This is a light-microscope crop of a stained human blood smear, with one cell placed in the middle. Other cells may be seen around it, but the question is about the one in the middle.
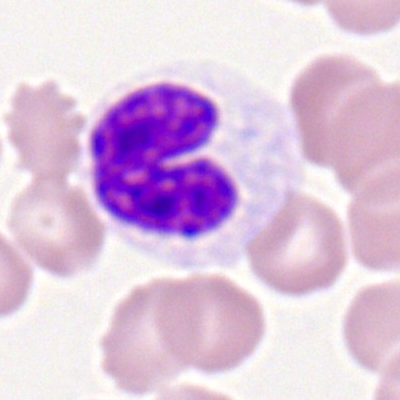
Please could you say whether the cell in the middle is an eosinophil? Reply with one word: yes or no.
no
